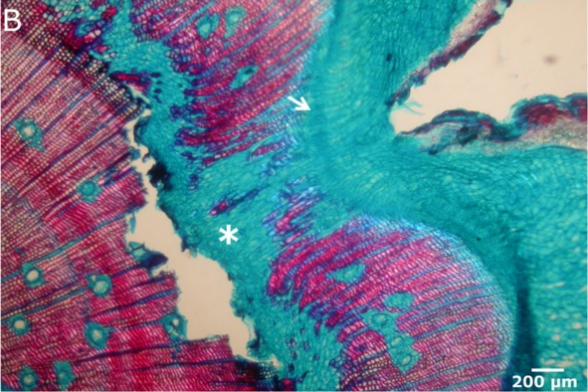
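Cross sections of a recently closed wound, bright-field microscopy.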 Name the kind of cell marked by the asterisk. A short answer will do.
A: Parenchymatous cells.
